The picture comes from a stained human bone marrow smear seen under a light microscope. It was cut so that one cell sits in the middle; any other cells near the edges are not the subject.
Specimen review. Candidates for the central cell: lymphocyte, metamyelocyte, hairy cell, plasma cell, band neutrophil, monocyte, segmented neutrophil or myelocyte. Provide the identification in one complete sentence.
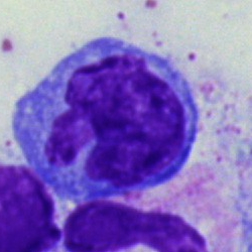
The crop's centre is taken up by a monocyte.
